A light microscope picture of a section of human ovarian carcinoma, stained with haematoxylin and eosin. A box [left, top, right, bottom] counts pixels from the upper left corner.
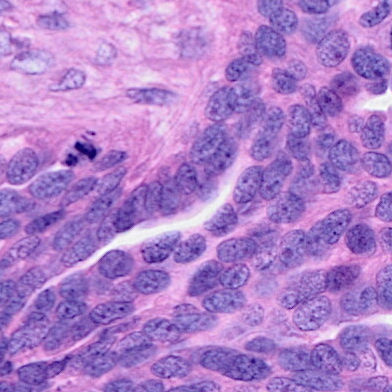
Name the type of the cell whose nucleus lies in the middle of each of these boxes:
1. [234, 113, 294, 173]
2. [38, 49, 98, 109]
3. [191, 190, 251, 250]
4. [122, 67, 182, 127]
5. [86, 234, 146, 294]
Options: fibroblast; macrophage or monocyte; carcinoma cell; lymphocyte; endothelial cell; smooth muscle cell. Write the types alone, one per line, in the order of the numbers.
carcinoma cell
fibroblast
carcinoma cell
fibroblast
carcinoma cell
